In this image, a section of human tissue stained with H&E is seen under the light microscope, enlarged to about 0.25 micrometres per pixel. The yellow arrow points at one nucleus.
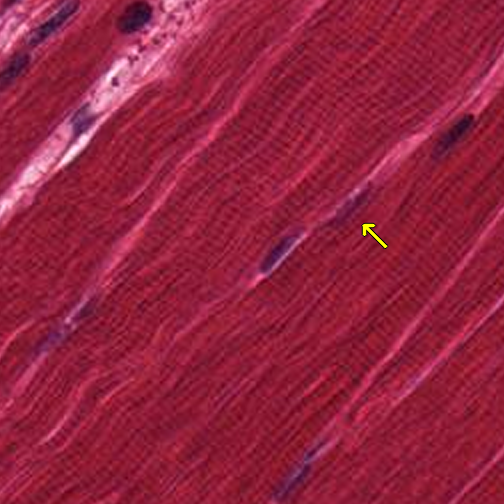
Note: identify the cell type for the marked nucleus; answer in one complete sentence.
Marked in this picture is the nucleus of a skeletal muscle fibre.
